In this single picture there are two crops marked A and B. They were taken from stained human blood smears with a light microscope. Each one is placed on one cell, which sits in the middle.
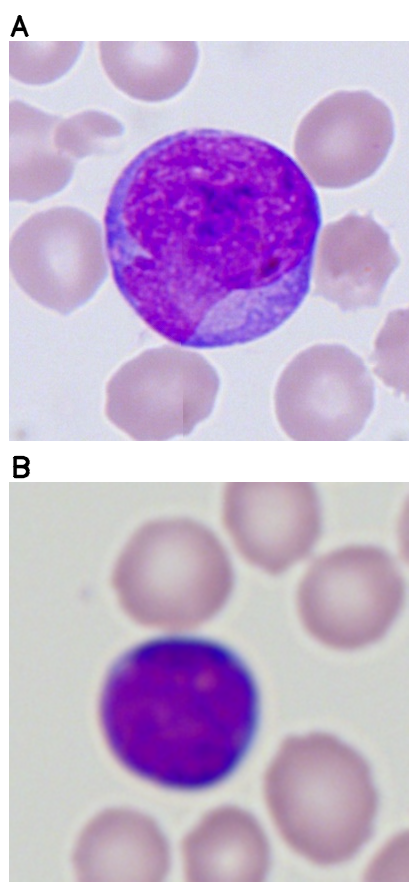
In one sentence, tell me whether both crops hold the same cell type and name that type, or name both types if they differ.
Yes, myeloblasts are the cells in the middle of both crops.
